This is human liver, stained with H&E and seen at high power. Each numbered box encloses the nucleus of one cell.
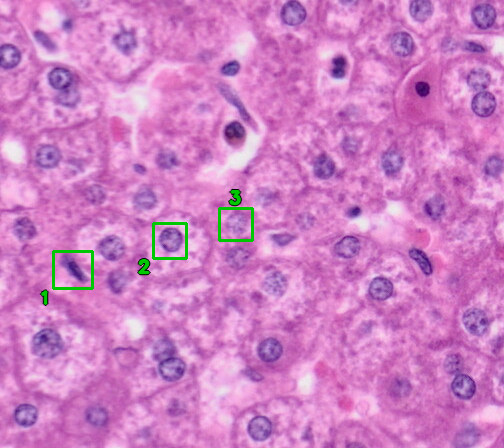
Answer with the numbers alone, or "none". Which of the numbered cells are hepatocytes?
2, 3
